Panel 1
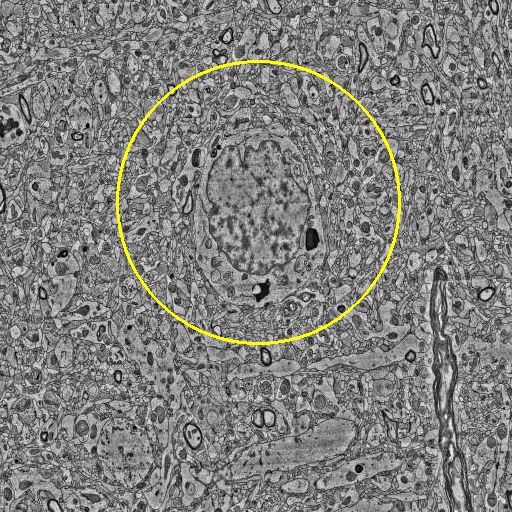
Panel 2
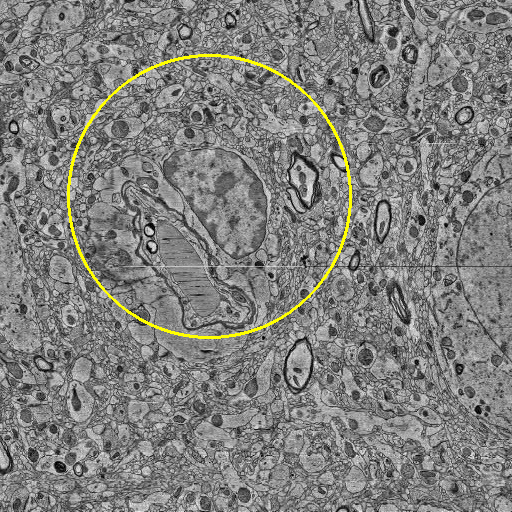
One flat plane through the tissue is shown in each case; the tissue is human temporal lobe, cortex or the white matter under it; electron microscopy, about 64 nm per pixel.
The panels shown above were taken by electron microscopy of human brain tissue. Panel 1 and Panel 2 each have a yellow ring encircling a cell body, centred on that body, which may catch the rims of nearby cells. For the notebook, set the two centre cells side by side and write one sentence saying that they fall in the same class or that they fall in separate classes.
The centred cells of Panel 1 and Panel 2 fall in separate classes.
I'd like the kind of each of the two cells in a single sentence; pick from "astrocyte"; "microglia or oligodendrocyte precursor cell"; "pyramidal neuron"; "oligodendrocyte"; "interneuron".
The first ring marks an interneuron, and the second ring marks a microglial cell or oligodendrocyte precursor cell.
